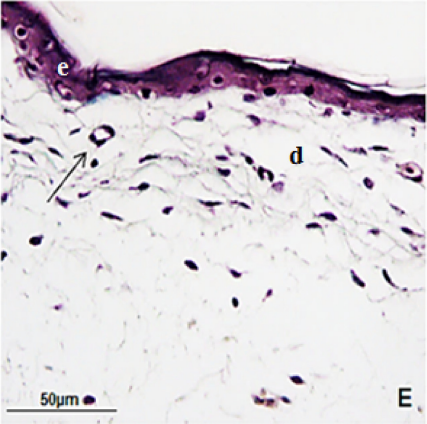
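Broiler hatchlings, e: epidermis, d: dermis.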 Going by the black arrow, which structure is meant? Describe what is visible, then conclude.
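Cross sections of blood vessels. The arrow points to a small ring-shaped profile with a clear lumen just beneath the epidermis. The ring is lined by a thin wall.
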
